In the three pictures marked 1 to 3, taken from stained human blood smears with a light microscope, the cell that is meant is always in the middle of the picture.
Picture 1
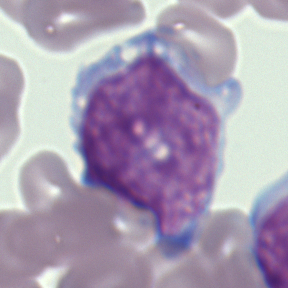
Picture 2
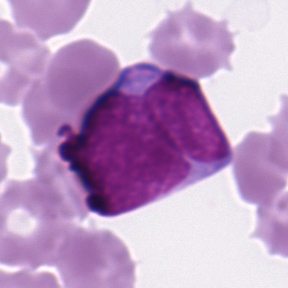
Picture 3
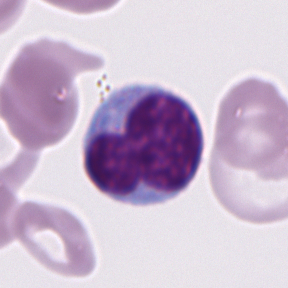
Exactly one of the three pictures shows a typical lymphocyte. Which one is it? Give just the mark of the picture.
3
